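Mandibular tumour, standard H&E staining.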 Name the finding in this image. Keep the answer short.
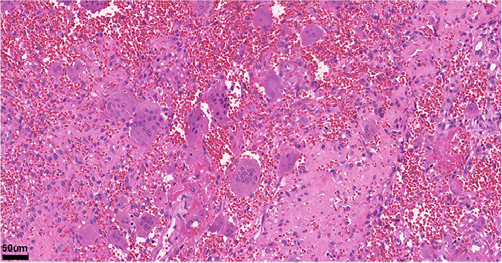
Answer: haemorrhagic stroma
